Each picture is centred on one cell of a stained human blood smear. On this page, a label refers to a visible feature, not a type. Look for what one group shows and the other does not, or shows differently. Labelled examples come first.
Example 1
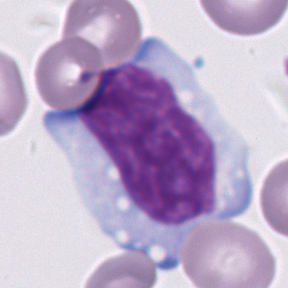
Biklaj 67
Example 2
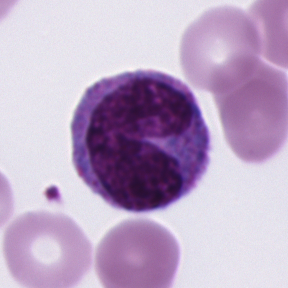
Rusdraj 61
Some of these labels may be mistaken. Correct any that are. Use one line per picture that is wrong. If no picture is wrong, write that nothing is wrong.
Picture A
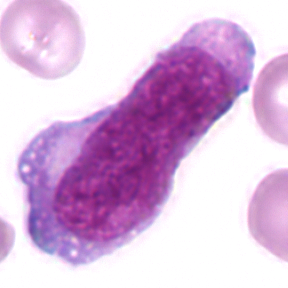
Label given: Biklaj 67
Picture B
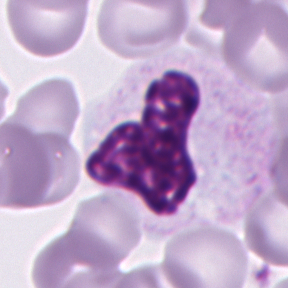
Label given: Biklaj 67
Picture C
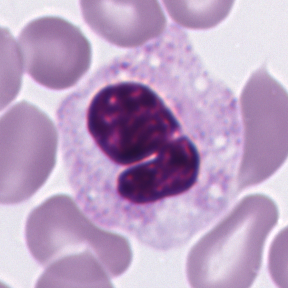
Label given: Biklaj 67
B: change Biklaj 67 to Rusdraj 61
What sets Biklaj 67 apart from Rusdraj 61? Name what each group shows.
Biklaj 67: vacuoles present; Rusdraj 61: no vacuoles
